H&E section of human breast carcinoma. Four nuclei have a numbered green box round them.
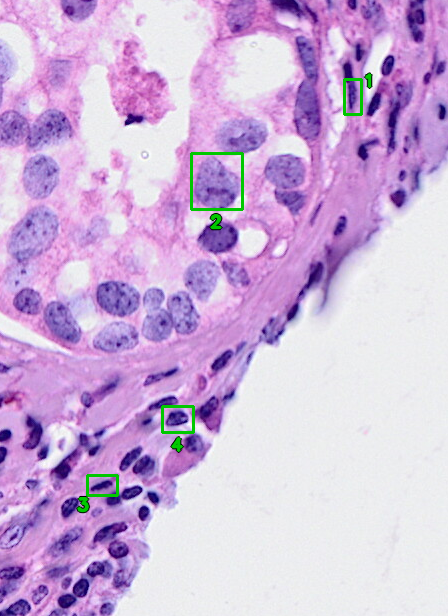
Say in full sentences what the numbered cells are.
Cell 1 is a fibroblast, cell 2 is a carcinoma cell, cell 3 is a lymphocyte and cell 4 is a lymphocyte.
